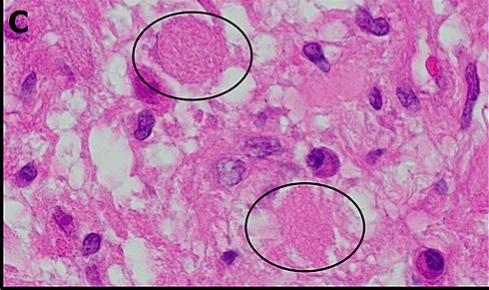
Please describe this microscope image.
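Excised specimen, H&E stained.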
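Tumour tissue at high magnification shows two round, pink, finely granular eosinophilic granular bodies lying in a pale, vacuolated, fibrillary pink background. Between them are tumour cells with dark, variably sized and irregular nuclei, some hyperchromatic. The cytoplasm around the cells is pale pink and partly bubbly, with many small clear spaces.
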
